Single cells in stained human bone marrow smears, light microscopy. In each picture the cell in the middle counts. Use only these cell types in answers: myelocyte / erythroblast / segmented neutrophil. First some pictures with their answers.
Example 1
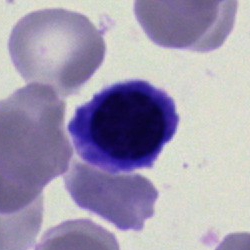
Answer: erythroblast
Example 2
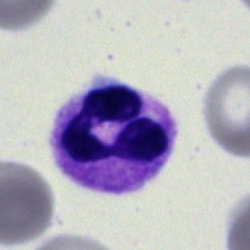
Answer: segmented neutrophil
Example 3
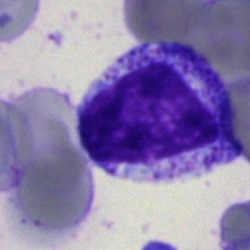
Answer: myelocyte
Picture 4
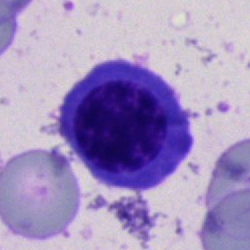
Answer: erythroblast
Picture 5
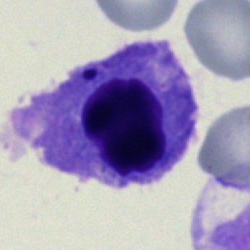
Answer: erythroblast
